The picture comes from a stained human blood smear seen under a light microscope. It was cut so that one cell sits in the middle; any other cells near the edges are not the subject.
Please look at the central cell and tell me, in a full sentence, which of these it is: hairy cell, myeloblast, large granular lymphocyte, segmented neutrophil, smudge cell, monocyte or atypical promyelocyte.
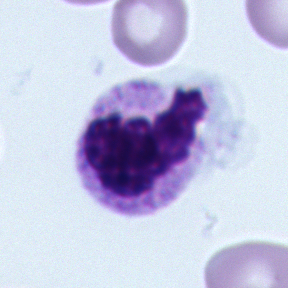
On this slide crop, the central cell is a segmented neutrophil.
